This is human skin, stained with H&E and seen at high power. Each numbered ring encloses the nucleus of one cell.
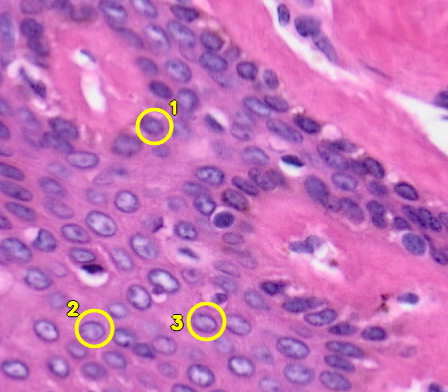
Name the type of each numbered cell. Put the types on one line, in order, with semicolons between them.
basal keratinocyte; suprabasal keratinocyte; suprabasal keratinocyte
